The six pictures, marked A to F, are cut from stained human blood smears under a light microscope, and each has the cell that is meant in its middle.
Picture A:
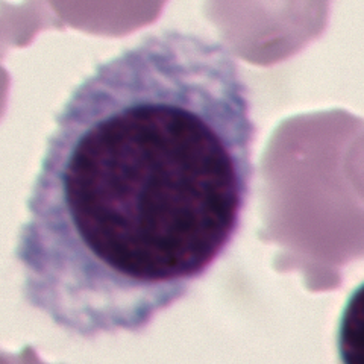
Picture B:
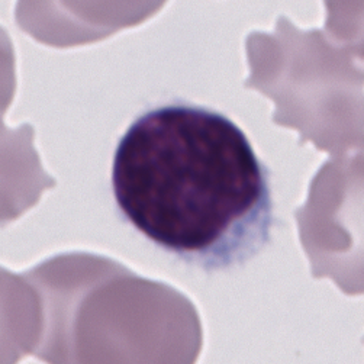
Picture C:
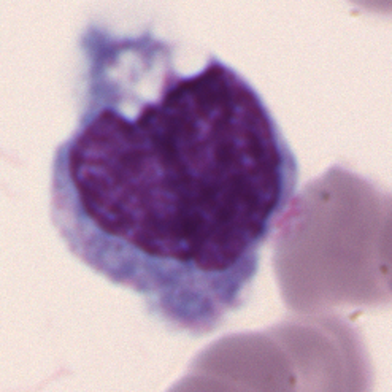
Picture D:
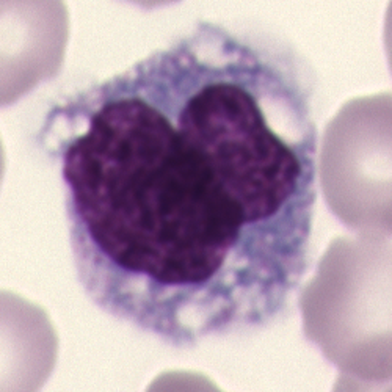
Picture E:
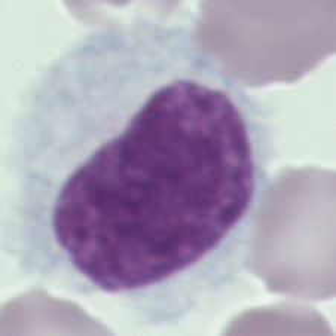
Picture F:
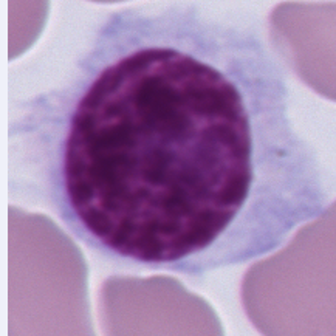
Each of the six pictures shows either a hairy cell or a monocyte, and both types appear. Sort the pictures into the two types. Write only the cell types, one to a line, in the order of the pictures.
hairy cell
hairy cell
monocyte
monocyte
hairy cell
hairy cell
